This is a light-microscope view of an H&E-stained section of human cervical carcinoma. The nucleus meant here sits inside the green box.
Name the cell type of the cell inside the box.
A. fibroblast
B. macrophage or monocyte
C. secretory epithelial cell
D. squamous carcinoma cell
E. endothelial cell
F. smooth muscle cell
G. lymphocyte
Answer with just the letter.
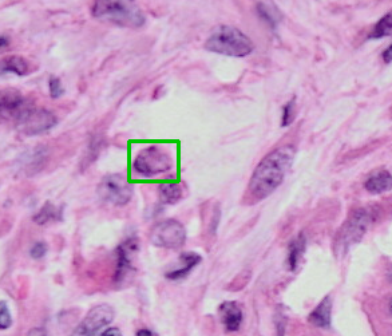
B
